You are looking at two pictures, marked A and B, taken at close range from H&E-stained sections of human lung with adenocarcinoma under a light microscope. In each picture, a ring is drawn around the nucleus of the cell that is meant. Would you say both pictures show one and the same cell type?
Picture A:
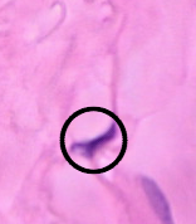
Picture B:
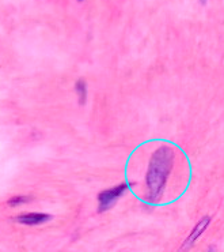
no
